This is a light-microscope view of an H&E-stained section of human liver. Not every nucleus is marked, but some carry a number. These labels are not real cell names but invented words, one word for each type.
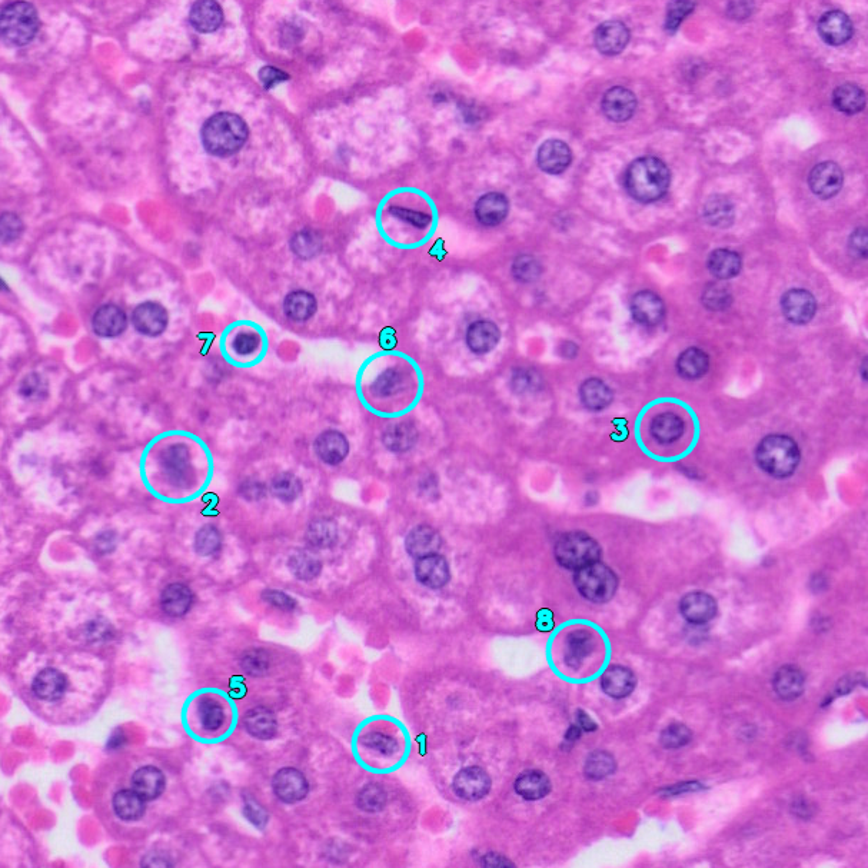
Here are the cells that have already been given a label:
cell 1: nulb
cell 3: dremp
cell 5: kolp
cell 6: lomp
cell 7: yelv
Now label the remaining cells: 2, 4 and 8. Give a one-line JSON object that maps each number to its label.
{"2": "lomp", "4": "kolp", "8": "kolp"}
